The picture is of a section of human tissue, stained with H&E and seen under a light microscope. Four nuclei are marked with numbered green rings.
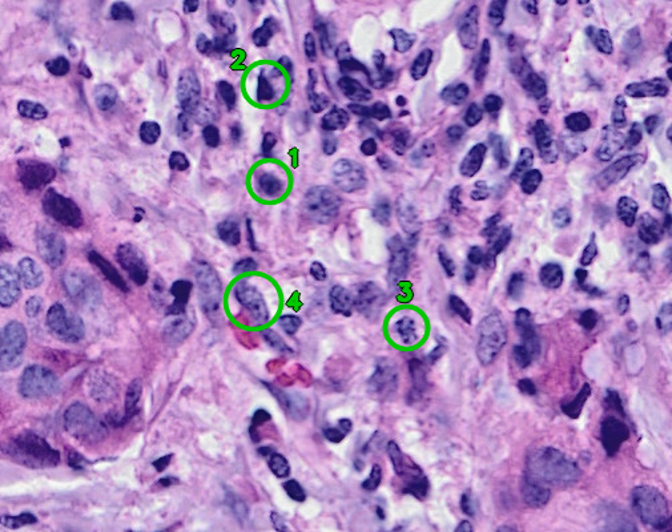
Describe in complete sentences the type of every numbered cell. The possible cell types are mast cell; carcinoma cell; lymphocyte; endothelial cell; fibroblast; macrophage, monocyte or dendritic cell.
Cell 1 is a lymphocyte, cell 2 is a lymphocyte, cell 3 is a lymphocyte and cell 4 is an endothelial cell.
